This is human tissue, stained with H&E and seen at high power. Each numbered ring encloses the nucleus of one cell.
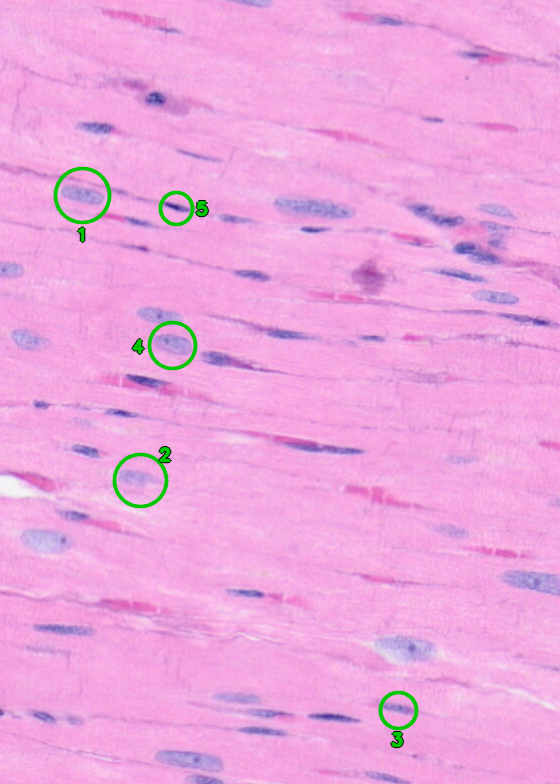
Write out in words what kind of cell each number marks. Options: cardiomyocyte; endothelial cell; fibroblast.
Cell 1 is a cardiomyocyte, cell 2 is a cardiomyocyte, cell 3 is an endothelial cell, cell 4 is a cardiomyocyte and cell 5 is an endothelial cell.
